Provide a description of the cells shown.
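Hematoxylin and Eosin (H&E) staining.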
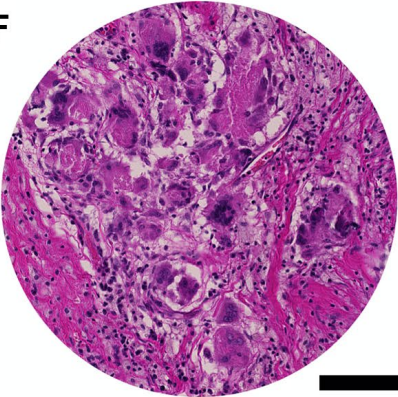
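Multinucleated giant cells in a fibrous inflammatory background. Numerous very large cells with abundant pale pink to purplish cytoplasm, each holding many dark purple nuclei, often clustered toward the centre or along one side. Some giant cells appear to surround pale or vacuolated material. Between them lie smaller cells with small dark round or oval nuclei and spindle-shaped cells. Bright pink collagen strands run between the clusters, mainly at the left and right edges. The giant cells form loose aggregates rather than a continuous sheet.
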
